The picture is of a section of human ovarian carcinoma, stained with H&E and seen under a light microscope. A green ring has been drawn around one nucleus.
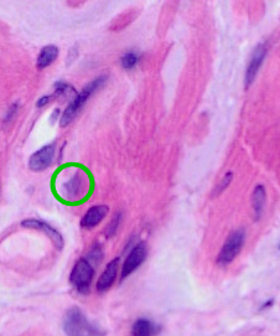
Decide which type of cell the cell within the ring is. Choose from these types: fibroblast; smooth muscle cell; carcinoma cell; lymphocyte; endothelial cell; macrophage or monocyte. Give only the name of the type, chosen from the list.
smooth muscle cell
